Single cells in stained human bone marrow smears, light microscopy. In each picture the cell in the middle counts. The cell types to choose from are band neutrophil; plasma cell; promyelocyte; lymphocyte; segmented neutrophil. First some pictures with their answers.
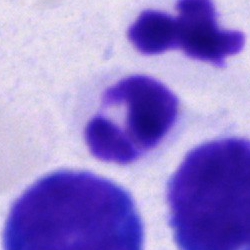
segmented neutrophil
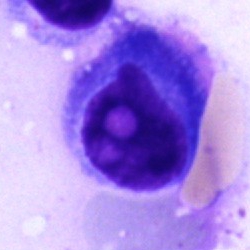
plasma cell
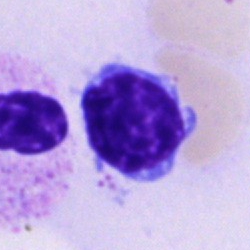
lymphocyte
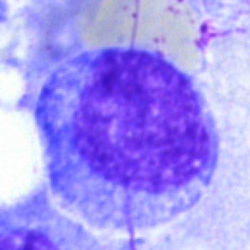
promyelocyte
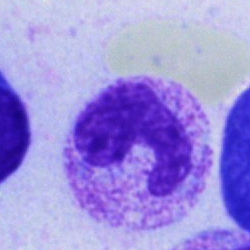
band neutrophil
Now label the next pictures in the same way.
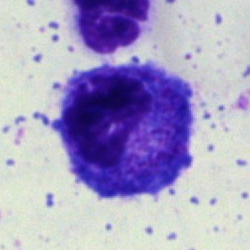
promyelocyte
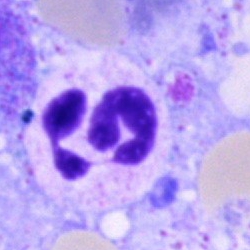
segmented neutrophil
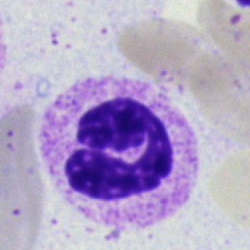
segmented neutrophil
